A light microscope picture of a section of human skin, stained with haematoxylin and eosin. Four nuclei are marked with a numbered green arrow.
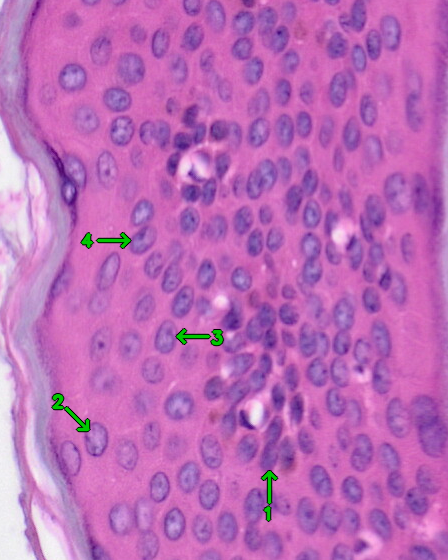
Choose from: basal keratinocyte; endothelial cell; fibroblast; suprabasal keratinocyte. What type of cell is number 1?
basal keratinocyte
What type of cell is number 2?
suprabasal keratinocyte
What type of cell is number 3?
suprabasal keratinocyte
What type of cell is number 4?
suprabasal keratinocyte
